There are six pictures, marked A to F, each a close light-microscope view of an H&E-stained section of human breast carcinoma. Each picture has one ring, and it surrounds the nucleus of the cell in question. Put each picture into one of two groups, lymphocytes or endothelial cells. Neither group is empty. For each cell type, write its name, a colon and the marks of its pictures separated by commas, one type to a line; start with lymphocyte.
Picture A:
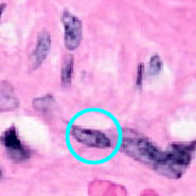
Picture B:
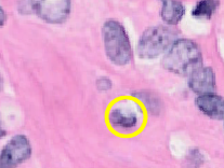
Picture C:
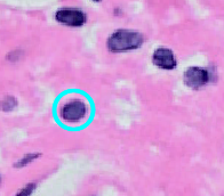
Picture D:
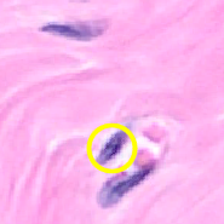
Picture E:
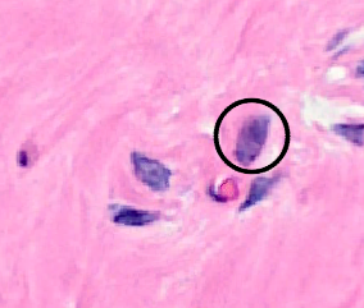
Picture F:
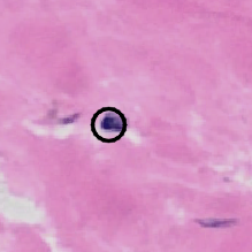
lymphocyte: C, F
endothelial cell: A, B, D, E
